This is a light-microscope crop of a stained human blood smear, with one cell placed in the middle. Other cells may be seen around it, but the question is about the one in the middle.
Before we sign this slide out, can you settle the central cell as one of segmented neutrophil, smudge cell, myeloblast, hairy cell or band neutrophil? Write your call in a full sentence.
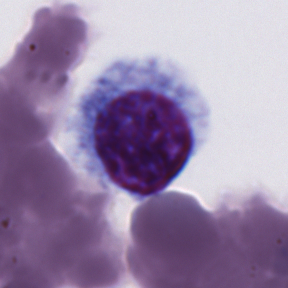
What sits at the centre of this crop is a hairy cell.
